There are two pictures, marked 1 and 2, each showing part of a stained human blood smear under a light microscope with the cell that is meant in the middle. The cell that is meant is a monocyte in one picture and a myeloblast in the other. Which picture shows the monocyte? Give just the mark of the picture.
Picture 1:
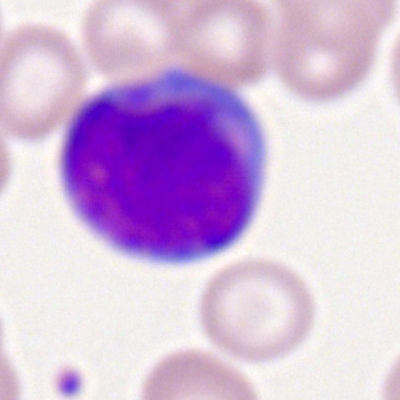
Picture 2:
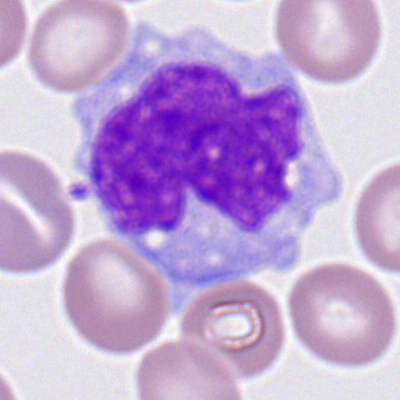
2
